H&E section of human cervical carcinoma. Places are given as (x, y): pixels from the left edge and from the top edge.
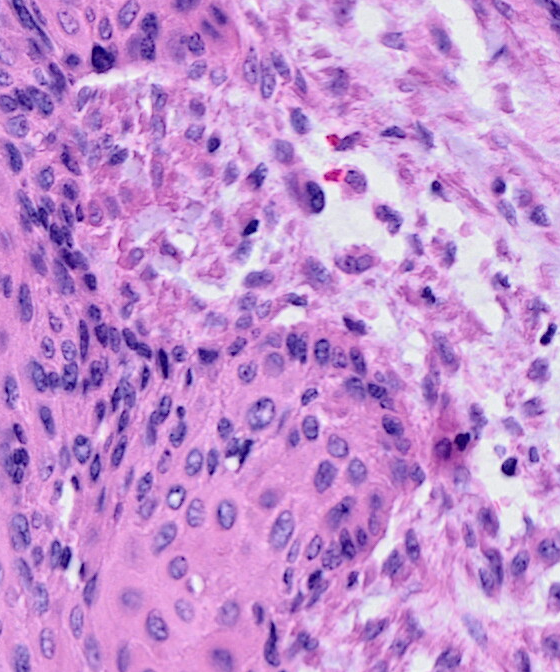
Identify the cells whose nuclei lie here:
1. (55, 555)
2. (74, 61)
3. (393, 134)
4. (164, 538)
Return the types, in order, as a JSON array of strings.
["squamous carcinoma cell", "squamous carcinoma cell", "fibroblast", "squamous carcinoma cell"]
